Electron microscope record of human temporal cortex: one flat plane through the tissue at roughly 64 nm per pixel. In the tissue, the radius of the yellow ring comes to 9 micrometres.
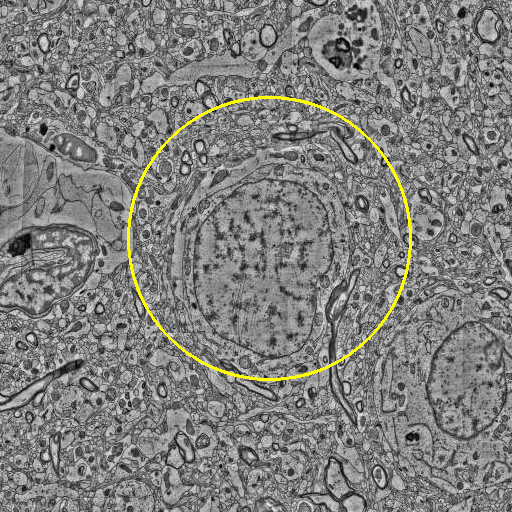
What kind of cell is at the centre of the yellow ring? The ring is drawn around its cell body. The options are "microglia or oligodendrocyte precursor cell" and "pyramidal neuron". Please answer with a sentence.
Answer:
The yellow ring marks the cell body of a pyramidal neuron.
